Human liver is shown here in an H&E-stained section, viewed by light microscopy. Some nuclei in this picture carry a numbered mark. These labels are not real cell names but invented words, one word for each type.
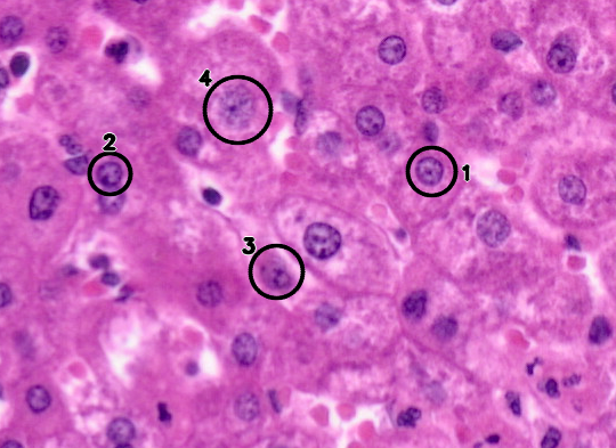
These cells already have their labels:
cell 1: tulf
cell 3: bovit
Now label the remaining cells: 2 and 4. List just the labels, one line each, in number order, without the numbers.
tulf
tulf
